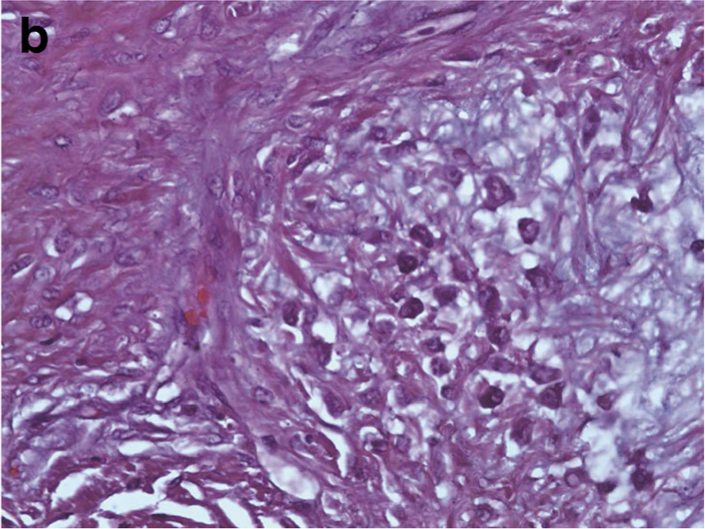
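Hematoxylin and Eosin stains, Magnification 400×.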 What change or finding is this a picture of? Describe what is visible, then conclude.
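The right half shows a loose, pale, bluish, wispy background. The loose area is set off from denser pink tissue on the left. On this evidence: nodular myxoid areas.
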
